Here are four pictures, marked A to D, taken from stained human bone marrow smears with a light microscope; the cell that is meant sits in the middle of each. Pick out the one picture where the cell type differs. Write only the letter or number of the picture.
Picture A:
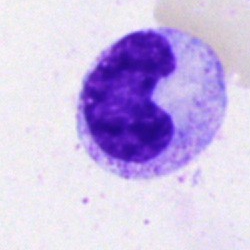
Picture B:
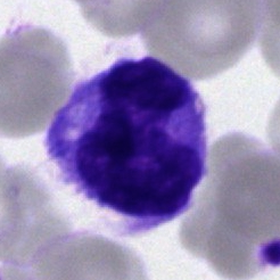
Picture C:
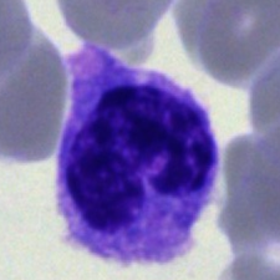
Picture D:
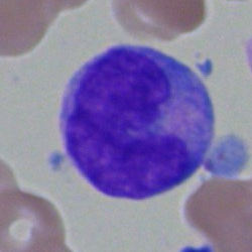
A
